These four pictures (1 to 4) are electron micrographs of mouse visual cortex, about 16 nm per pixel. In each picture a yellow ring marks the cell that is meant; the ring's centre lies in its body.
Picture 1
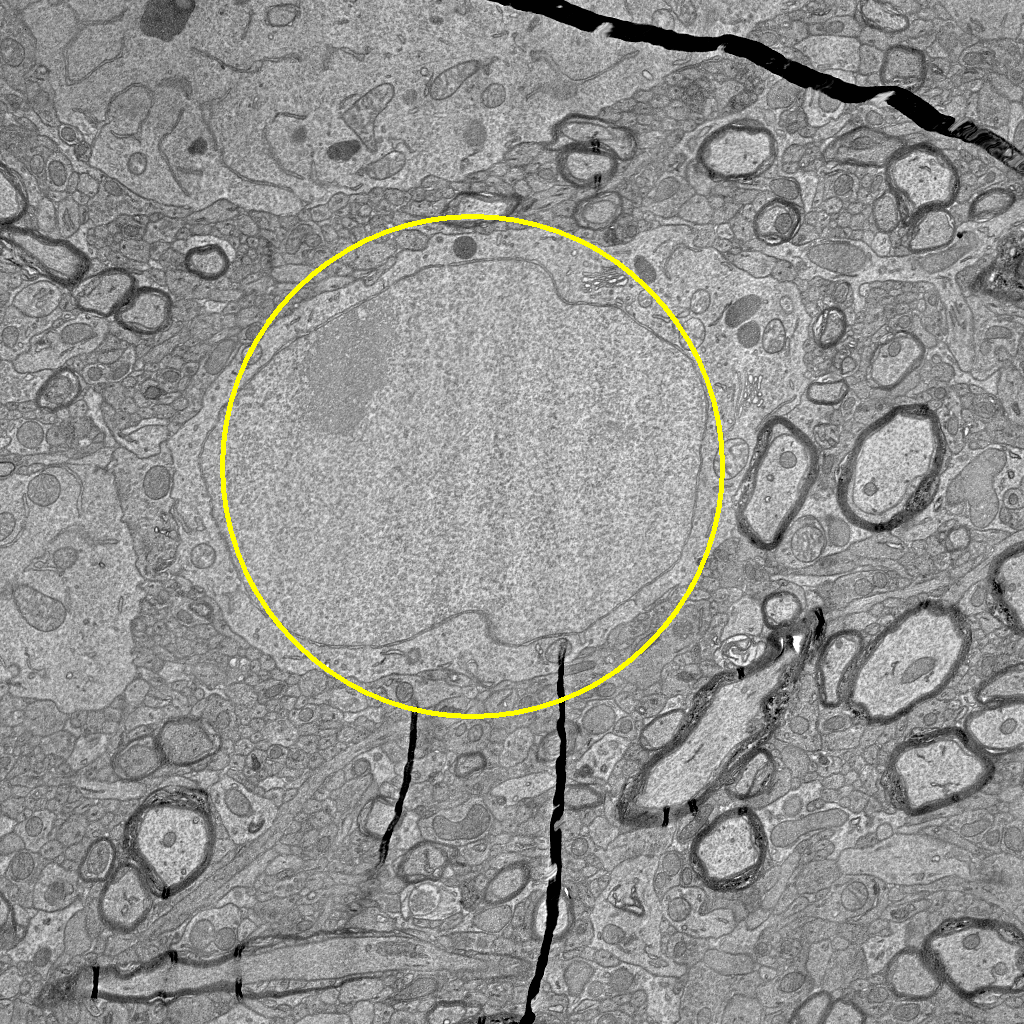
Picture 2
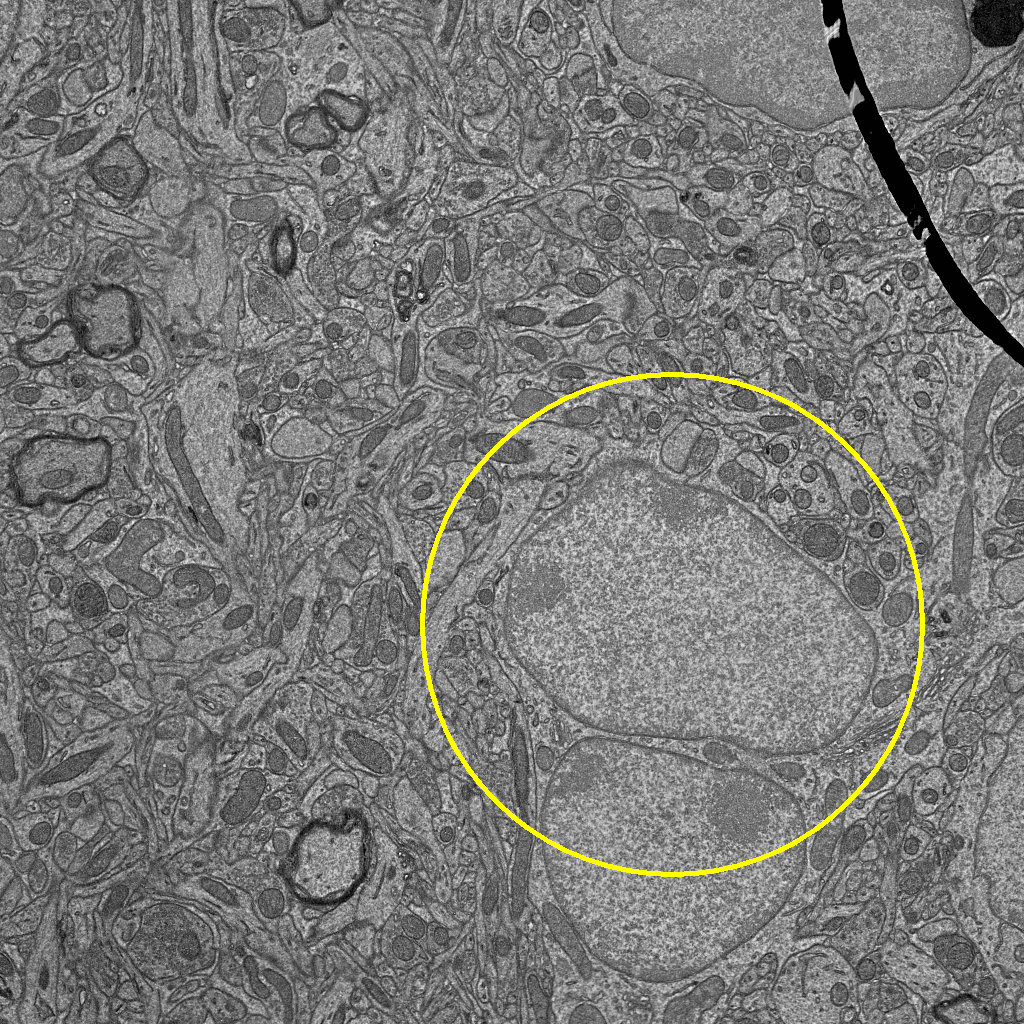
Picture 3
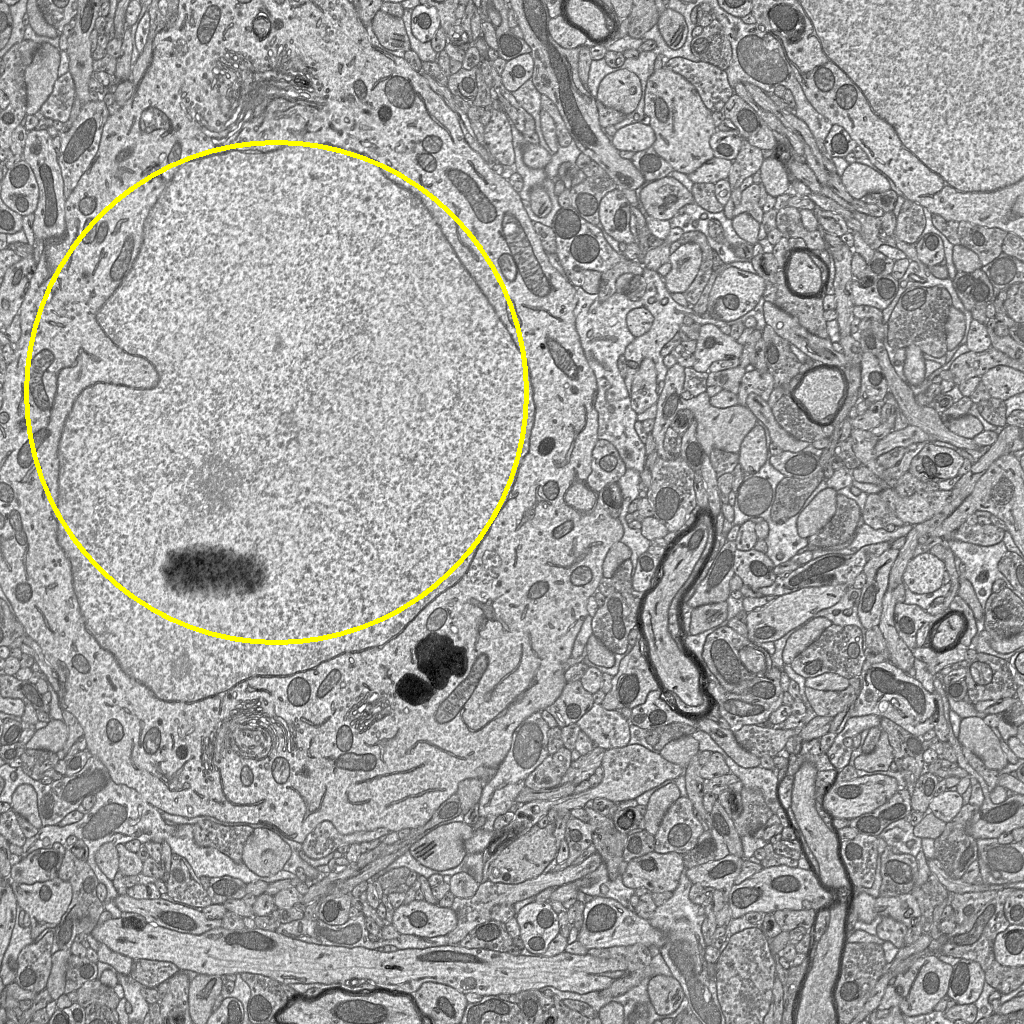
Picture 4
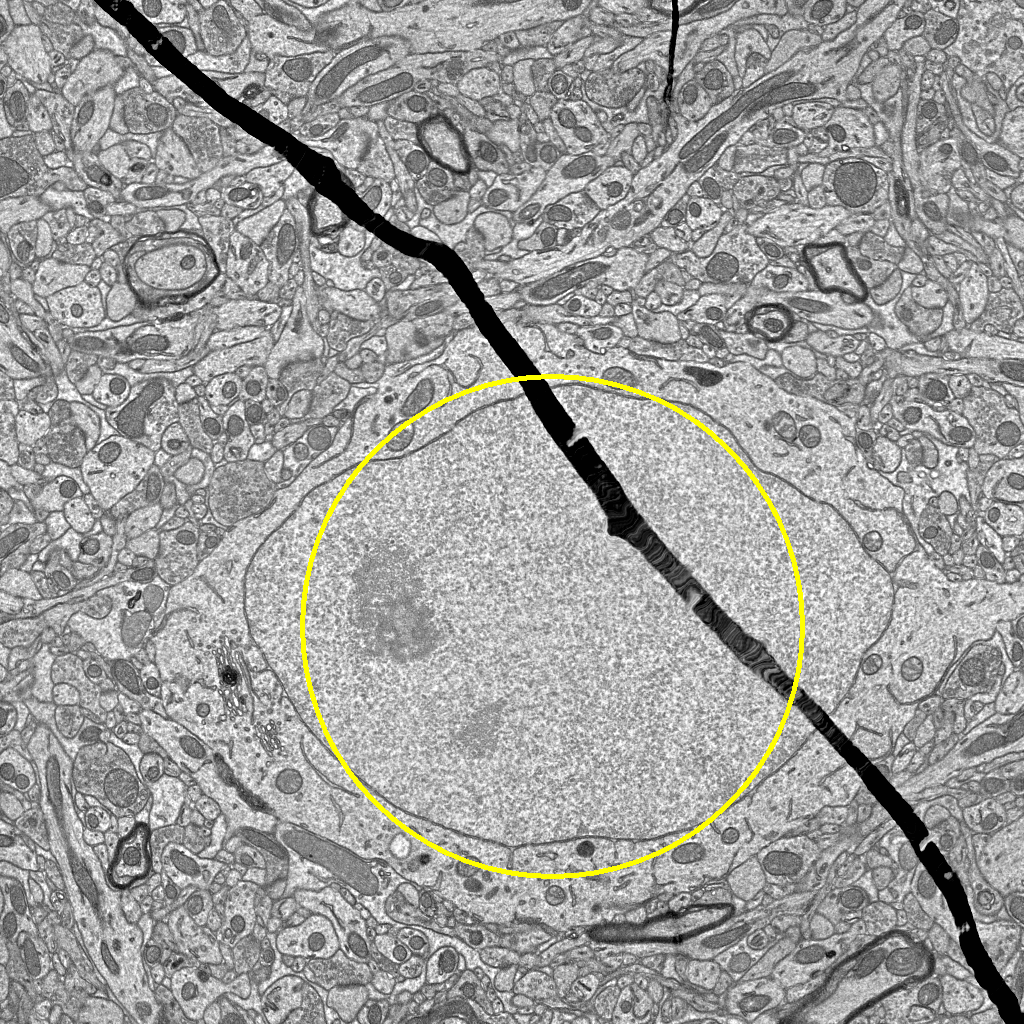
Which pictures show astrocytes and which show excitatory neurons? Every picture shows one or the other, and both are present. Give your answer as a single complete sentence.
Picture 2 shows an astrocyte, while pictures 1, 3 and 4 show excitatory neurons.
